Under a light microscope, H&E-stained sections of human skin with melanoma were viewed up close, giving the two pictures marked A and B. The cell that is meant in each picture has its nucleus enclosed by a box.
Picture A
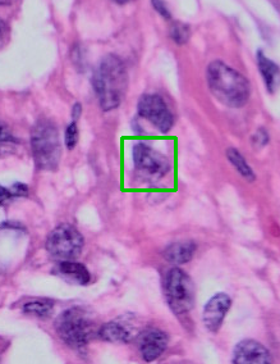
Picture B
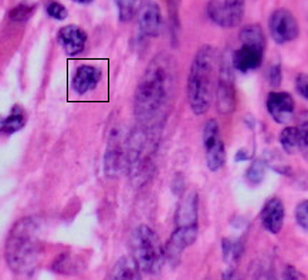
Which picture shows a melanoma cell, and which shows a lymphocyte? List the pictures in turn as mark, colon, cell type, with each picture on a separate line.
A: melanoma cell
B: lymphocyte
